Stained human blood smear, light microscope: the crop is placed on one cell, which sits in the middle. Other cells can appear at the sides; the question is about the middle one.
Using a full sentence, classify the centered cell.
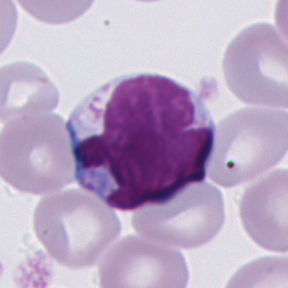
The cell in the middle of this crop is a large granular lymphocyte.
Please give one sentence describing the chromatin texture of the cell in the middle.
What stands out is fine chromatin lacking any coarse clumps.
